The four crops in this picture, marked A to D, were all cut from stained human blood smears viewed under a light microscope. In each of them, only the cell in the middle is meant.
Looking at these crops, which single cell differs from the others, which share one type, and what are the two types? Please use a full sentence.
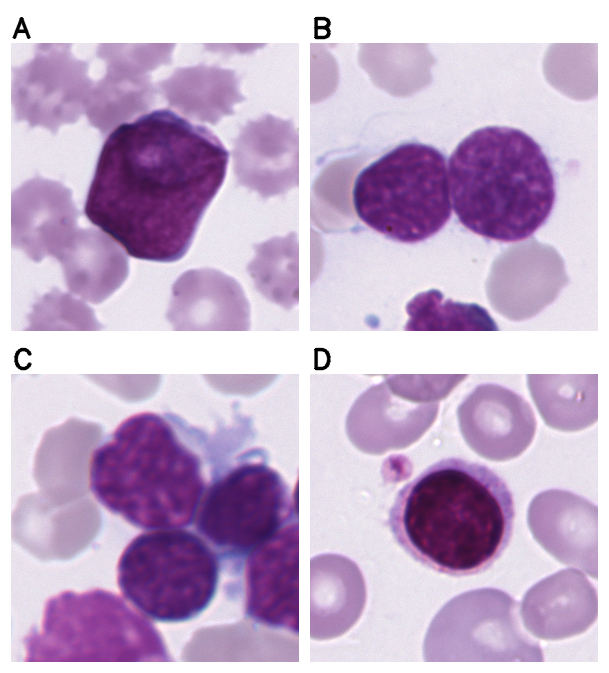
The odd one out is crop D, a large granular lymphocyte, and all other crops show blasts.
